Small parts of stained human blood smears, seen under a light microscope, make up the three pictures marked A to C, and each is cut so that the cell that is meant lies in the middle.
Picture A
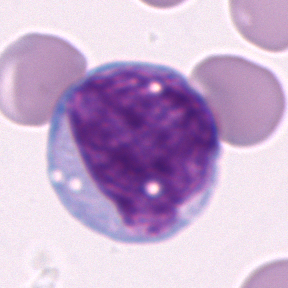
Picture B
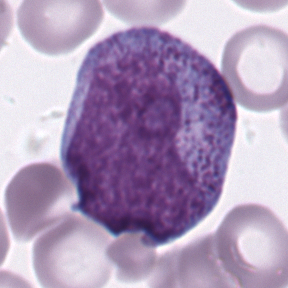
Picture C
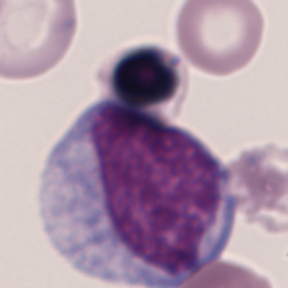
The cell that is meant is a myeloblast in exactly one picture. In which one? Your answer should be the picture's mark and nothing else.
A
